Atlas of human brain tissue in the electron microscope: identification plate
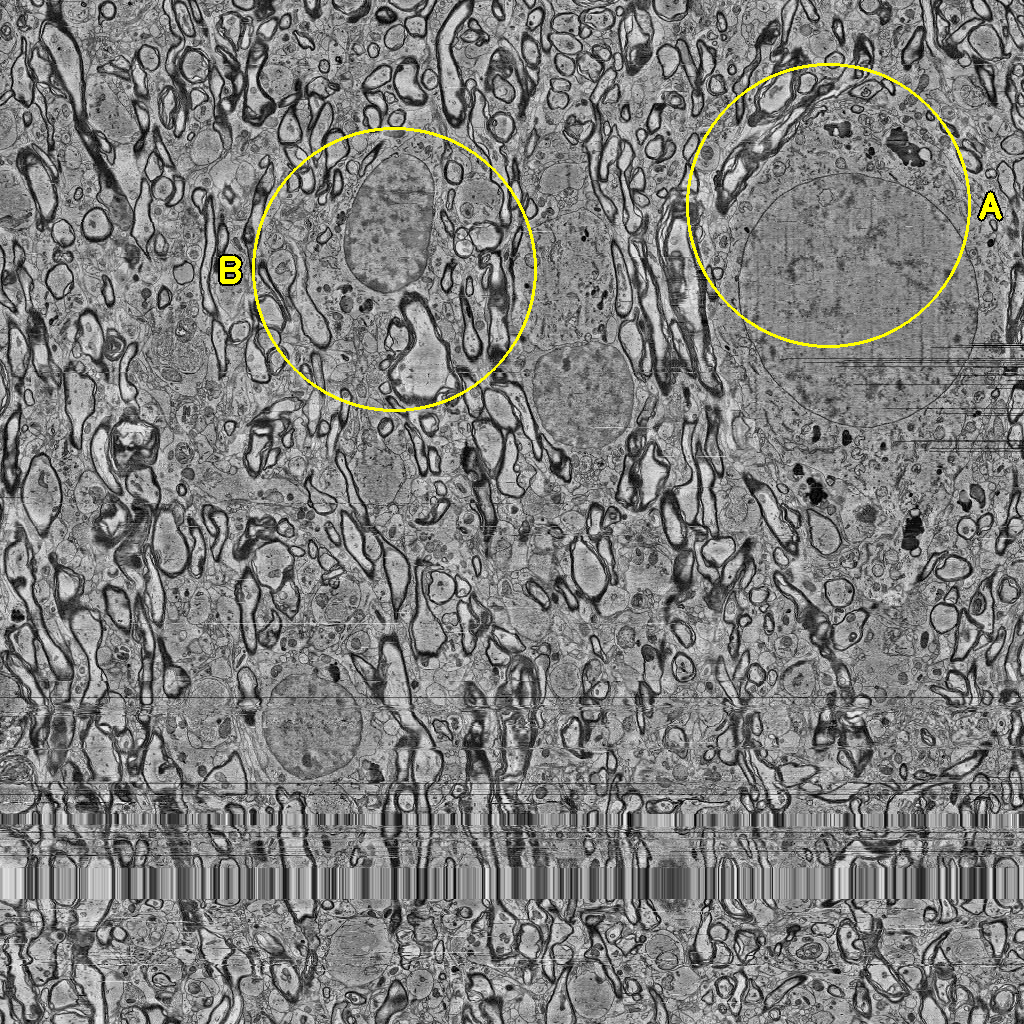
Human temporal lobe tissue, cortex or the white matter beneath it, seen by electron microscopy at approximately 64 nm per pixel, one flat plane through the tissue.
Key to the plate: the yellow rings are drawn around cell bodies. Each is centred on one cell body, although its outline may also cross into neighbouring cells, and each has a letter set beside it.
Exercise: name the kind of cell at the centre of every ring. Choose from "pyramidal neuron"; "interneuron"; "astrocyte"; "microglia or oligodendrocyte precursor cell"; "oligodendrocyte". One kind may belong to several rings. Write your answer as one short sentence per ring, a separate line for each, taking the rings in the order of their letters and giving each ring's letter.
The centre of ring A is occupied by a pyramidal neuron.
The centre of ring B is occupied by a microglial cell or oligodendrocyte precursor cell.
